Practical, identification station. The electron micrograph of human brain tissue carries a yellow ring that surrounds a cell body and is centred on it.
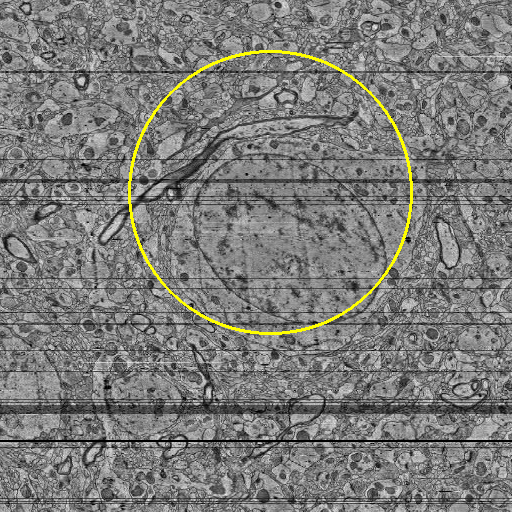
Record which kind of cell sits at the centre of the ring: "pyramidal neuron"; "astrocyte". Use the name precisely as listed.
pyramidal neuron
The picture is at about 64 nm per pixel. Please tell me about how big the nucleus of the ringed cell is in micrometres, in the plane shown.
The nucleus has a long axis of about 13 micrometres and a short axis of about 10 micrometres in this plane.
